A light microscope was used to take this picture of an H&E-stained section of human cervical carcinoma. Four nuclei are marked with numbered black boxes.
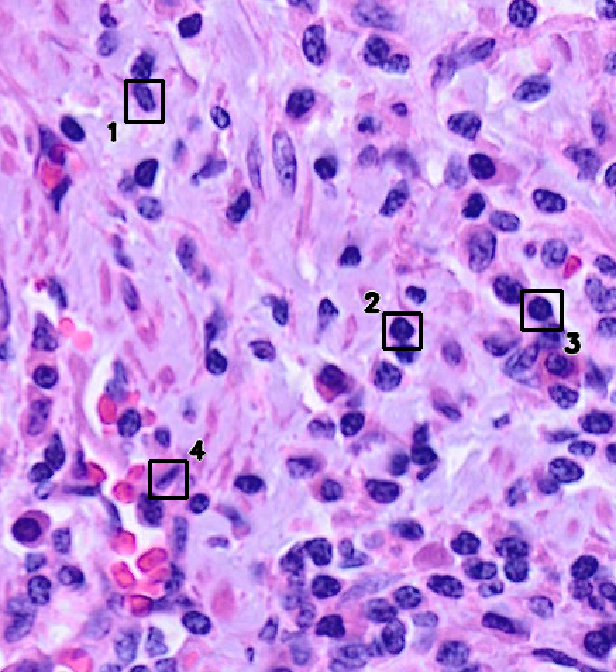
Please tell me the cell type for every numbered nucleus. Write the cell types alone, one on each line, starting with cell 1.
lymphocyte
lymphocyte
lymphocyte
endothelial cell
